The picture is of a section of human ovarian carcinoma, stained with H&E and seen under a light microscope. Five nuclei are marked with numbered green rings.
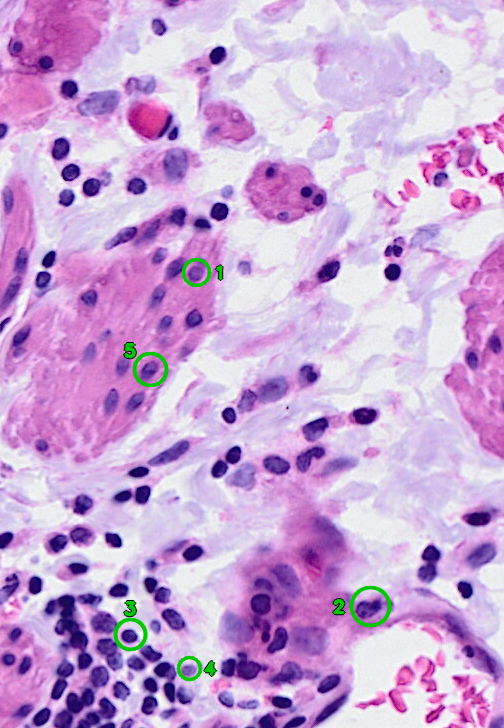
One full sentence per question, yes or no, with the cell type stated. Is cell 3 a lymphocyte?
Yes, the cell bearing the number 3 is a lymphocyte.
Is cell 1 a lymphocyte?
No, the right label for cell 1 is a smooth muscle cell rather than a lymphocyte.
